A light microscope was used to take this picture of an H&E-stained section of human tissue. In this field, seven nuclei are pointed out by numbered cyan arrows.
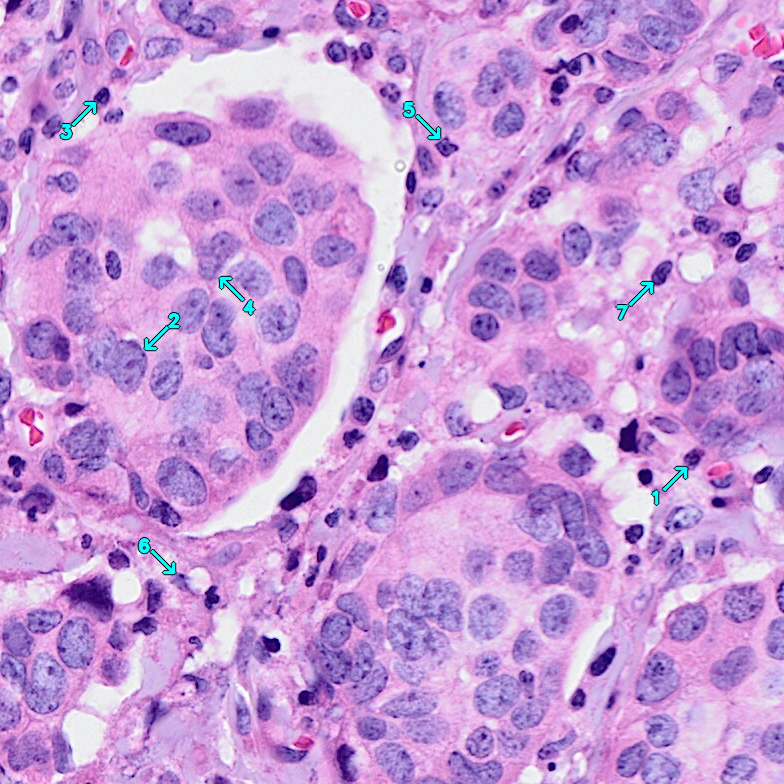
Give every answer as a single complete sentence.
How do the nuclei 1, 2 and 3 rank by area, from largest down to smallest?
The nuclei rank 2, 1, 3, from largest to smallest.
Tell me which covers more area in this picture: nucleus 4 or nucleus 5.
The larger nucleus is 4, at roughly 1.5 times the area of 5.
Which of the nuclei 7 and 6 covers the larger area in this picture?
Nucleus 7 covers more area, about 1.5 times as much as nucleus 6.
